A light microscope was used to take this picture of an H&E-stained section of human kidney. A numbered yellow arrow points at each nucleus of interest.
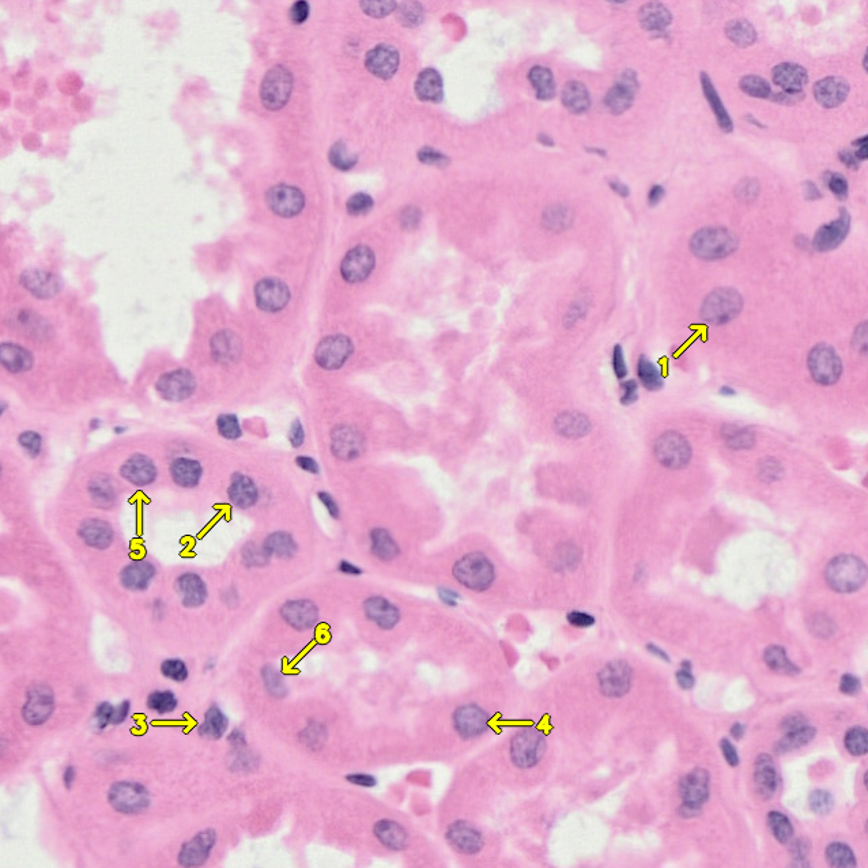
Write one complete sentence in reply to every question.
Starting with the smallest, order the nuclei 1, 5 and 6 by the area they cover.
By area, going up from the smallest, they rank 6, 5, 1.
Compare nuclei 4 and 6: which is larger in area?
It is nucleus 4, which covers about 1.5 times the area of nucleus 6.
